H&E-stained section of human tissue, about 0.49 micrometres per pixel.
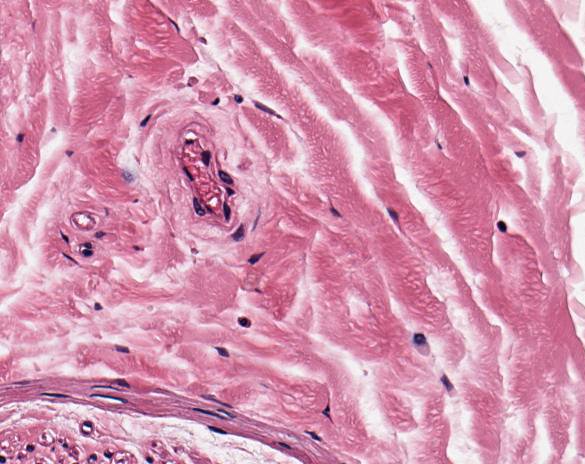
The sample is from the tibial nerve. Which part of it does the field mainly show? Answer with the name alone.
epineurium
